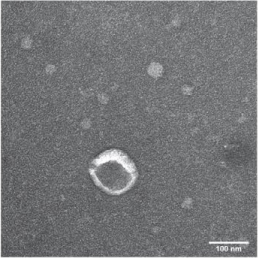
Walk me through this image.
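Negative-stain electron micrograph of isolated vesicles. Several much smaller, pale, round particles are scattered over the grainy grey background around it. No cells or cell organelles are present; the field contains only isolated particles lying on the support film.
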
